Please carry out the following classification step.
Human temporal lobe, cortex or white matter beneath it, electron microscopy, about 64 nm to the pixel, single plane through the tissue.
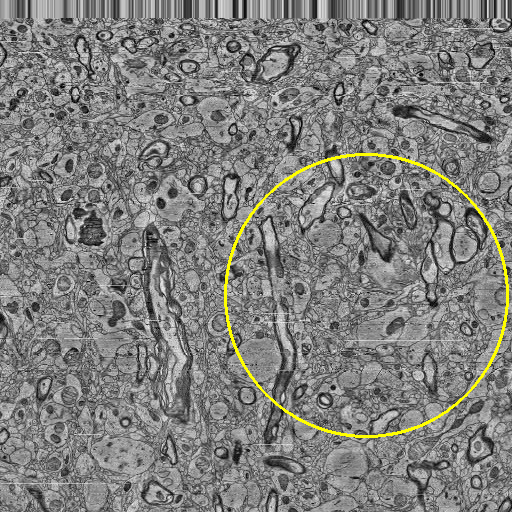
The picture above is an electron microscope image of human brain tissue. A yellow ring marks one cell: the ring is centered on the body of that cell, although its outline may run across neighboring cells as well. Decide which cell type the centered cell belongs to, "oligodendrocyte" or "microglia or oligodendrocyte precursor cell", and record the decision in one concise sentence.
The cell centered in the yellow ring is an oligodendrocyte.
